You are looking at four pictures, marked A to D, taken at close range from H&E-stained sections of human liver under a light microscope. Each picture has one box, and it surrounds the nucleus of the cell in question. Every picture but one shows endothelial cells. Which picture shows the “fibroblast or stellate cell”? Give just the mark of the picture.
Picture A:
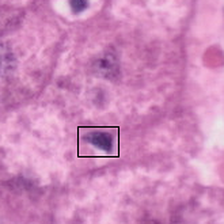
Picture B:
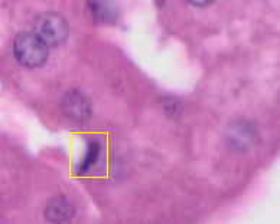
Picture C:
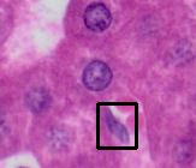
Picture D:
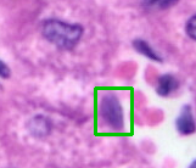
B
